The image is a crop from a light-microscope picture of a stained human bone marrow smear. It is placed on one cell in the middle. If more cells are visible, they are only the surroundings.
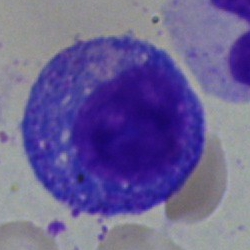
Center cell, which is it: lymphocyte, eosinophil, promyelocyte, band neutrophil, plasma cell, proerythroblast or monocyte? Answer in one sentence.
What sits at the centre of this crop is a promyelocyte.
